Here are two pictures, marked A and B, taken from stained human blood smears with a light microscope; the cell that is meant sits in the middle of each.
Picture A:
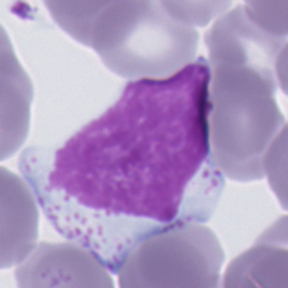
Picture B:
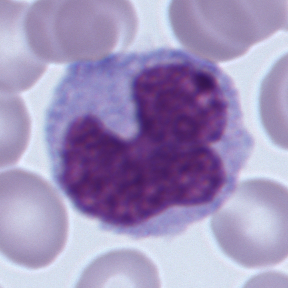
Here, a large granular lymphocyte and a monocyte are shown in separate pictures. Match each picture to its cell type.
A: large granular lymphocyte
B: monocyte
